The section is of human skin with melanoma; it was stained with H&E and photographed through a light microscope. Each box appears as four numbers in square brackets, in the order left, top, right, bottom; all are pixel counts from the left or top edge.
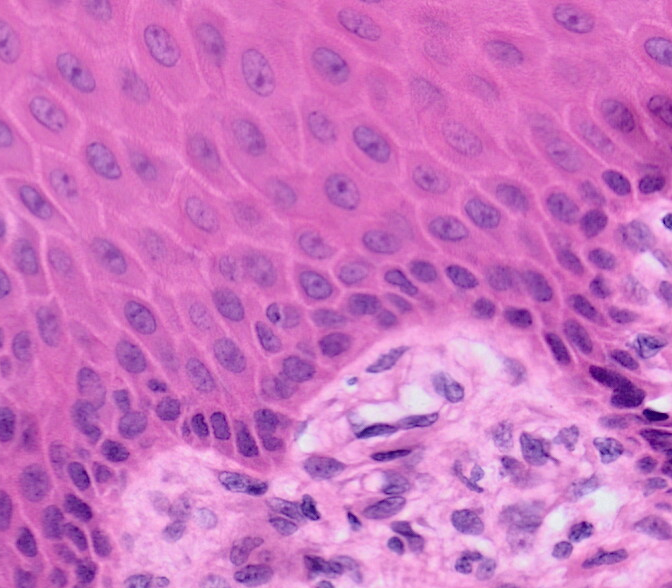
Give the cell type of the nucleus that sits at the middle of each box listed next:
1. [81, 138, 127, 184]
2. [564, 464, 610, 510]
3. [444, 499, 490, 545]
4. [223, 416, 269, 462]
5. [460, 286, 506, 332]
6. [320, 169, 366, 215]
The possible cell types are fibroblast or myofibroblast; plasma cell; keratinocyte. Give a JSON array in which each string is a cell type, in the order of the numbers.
["keratinocyte", "fibroblast or myofibroblast", "fibroblast or myofibroblast", "keratinocyte", "keratinocyte", "keratinocyte"]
